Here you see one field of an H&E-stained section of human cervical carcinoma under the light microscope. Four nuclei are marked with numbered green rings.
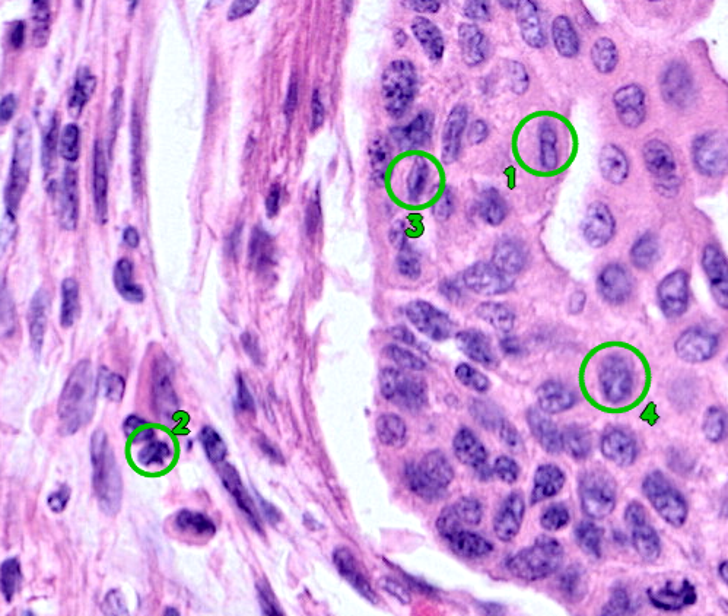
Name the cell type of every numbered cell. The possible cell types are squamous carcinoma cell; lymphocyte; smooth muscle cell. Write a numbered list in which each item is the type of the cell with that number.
1. squamous carcinoma cell
2. lymphocyte
3. squamous carcinoma cell
4. squamous carcinoma cell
